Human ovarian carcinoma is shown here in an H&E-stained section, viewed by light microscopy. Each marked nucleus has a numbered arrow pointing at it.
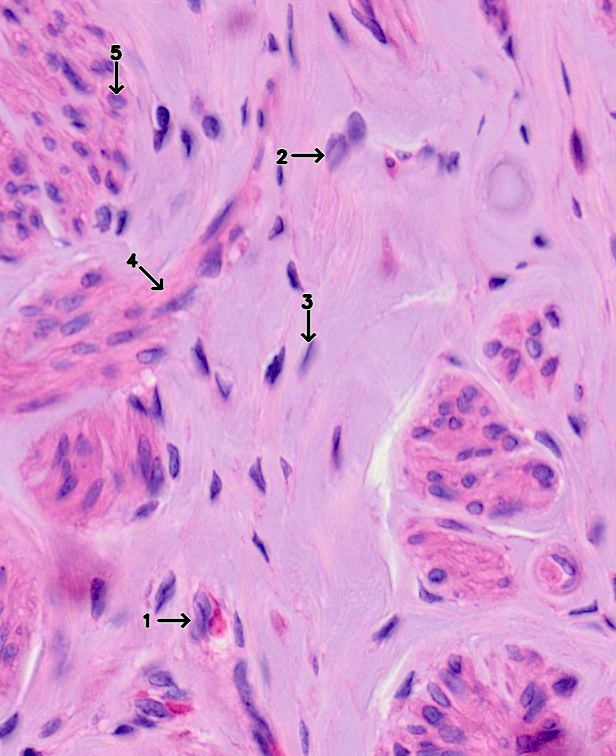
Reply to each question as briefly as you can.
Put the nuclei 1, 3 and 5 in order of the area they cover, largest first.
1, 3, 5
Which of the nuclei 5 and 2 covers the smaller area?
5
